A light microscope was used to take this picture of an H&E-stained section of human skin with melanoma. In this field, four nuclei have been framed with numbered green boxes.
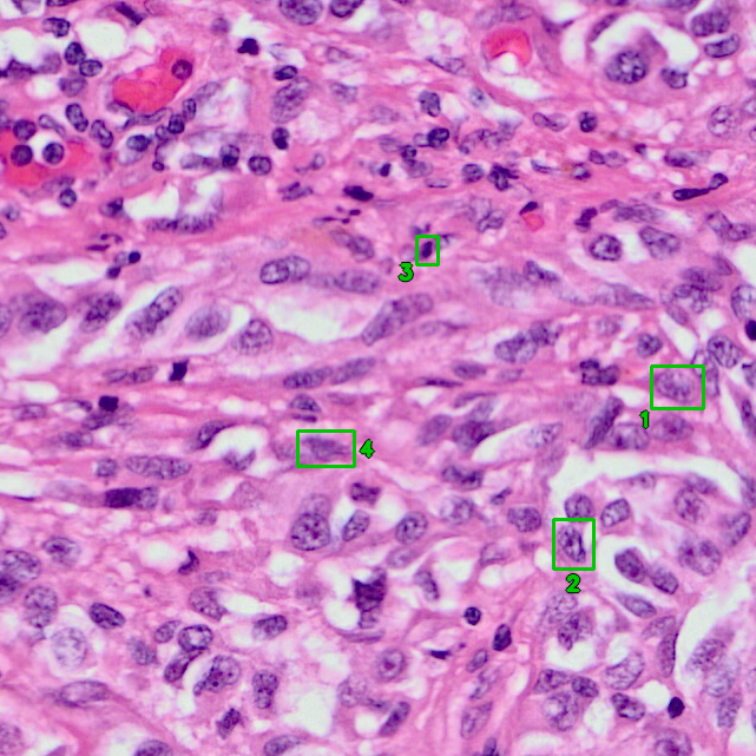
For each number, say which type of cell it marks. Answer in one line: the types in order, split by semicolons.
melanoma cell; melanoma cell; lymphocyte; melanoma cell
